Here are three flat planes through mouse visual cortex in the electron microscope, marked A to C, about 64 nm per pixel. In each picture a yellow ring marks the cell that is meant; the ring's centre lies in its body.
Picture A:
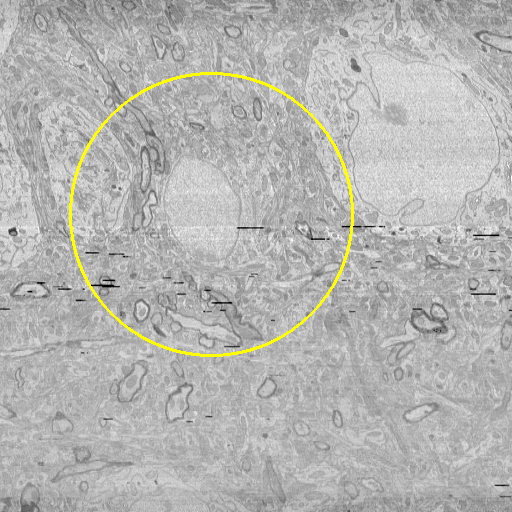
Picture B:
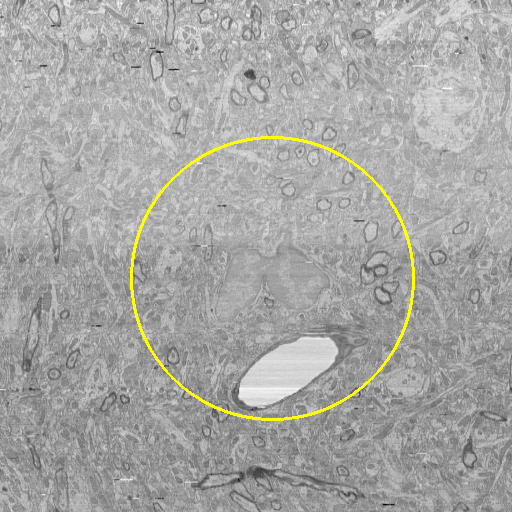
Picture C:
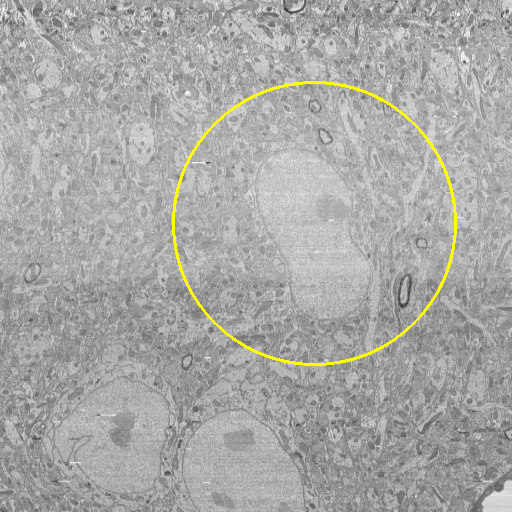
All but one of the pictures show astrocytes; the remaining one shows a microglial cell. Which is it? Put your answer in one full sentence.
The microglial cell is the one in picture B.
